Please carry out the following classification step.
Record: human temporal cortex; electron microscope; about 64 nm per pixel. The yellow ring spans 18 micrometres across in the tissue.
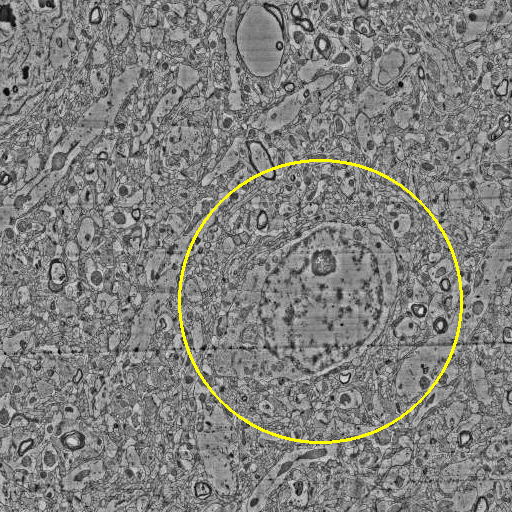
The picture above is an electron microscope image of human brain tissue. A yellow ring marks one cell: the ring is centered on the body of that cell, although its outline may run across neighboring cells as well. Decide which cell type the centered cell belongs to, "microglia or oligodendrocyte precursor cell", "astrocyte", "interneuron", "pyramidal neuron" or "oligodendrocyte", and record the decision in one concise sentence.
The cell centered in the yellow ring is an interneuron.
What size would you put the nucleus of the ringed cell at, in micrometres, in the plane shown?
About 9 micrometres by about 8 micrometres in this plane.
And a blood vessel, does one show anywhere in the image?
No, there is no blood vessel in the image.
